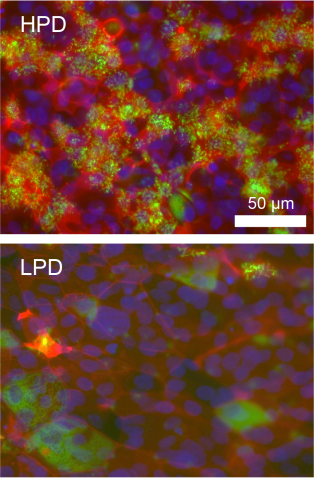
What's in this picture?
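Blue nuclei are closely packed and oval throughout both images. In the upper image bright green granular clusters cover many patches of cells, while in the lower image green clusters are few and most cells show only faint diffuse green.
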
